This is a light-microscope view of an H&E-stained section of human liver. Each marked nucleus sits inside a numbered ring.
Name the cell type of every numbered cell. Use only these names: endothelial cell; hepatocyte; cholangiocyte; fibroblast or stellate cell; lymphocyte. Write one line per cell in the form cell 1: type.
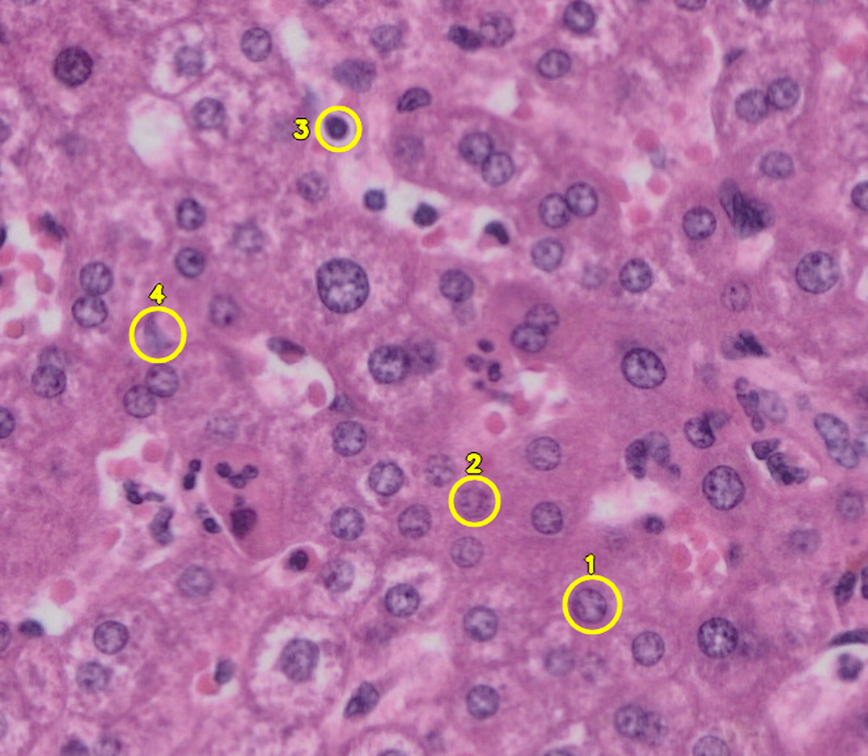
cell 1: hepatocyte
cell 2: hepatocyte
cell 3: lymphocyte
cell 4: endothelial cell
